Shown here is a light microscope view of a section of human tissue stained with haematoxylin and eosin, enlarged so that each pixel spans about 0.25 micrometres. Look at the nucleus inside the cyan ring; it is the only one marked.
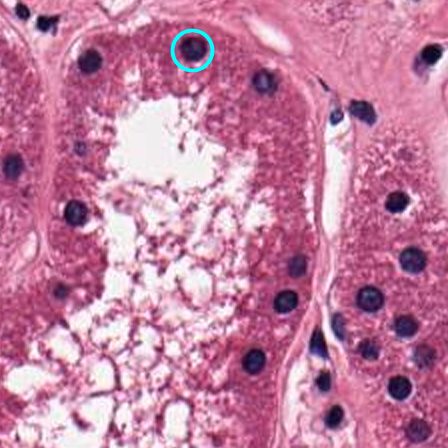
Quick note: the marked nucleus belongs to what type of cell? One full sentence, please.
The marked nucleus is the nucleus of a proximal tubule cell.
